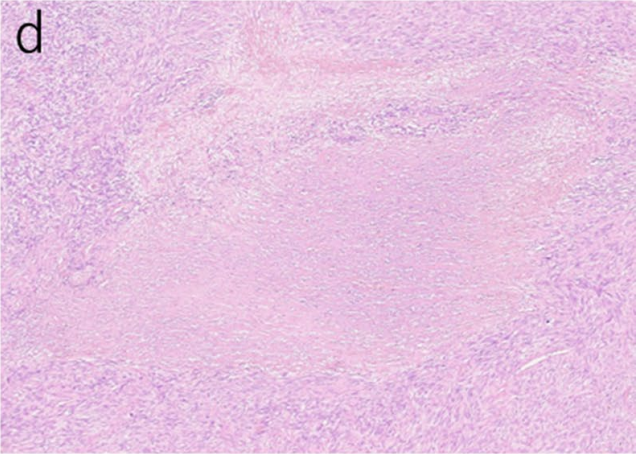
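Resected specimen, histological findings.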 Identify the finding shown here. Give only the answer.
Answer: tumor necroses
